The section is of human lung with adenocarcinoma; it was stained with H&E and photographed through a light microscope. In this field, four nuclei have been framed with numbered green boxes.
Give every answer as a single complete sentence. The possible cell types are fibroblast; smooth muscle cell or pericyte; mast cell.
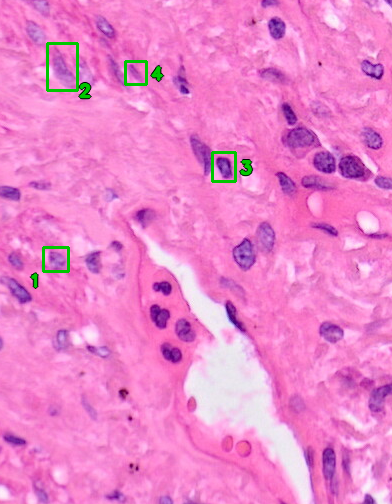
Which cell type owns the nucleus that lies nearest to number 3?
Number 3 lies closest to the nucleus of a fibroblast.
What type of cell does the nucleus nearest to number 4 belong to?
Closest to number 4 lies the nucleus of a smooth muscle cell or pericyte.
